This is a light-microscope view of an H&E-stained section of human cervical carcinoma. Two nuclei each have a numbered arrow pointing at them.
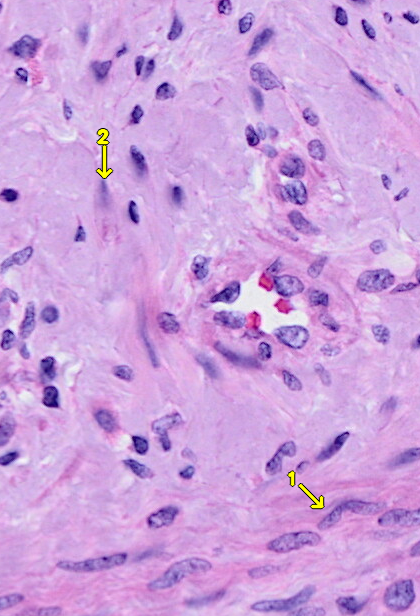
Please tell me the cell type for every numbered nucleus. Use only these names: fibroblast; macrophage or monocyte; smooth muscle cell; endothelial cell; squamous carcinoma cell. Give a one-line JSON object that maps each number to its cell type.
{"1": "smooth muscle cell", "2": "fibroblast"}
